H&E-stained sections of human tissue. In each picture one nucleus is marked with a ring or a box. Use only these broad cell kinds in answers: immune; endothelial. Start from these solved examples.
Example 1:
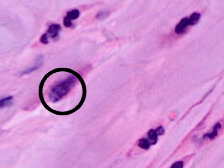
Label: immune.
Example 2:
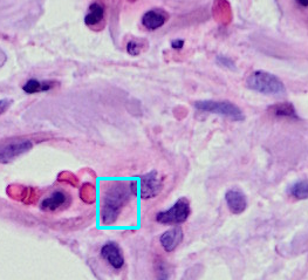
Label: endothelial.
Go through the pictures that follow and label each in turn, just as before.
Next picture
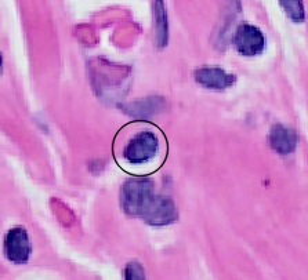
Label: immune.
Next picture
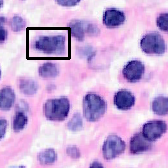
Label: immune.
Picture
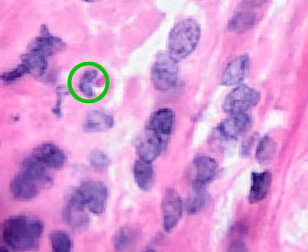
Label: endothelial.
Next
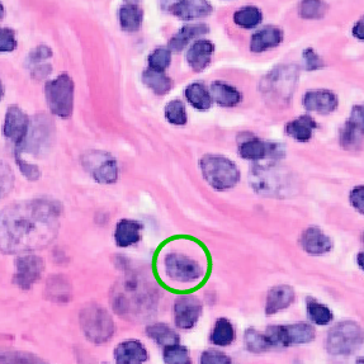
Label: immune.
